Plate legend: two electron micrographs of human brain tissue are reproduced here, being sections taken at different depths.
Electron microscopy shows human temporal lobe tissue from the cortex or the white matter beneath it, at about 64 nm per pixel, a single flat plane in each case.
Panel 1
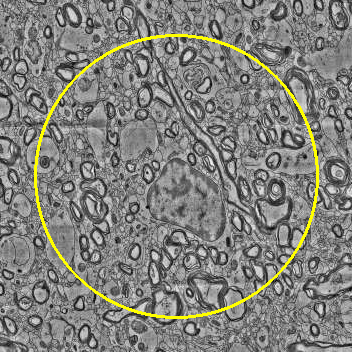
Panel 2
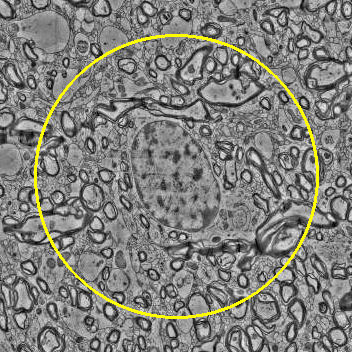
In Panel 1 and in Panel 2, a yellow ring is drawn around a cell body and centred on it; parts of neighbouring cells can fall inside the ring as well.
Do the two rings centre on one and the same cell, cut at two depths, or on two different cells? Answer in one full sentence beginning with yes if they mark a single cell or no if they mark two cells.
No, the two rings enclose two cells that are not the same.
